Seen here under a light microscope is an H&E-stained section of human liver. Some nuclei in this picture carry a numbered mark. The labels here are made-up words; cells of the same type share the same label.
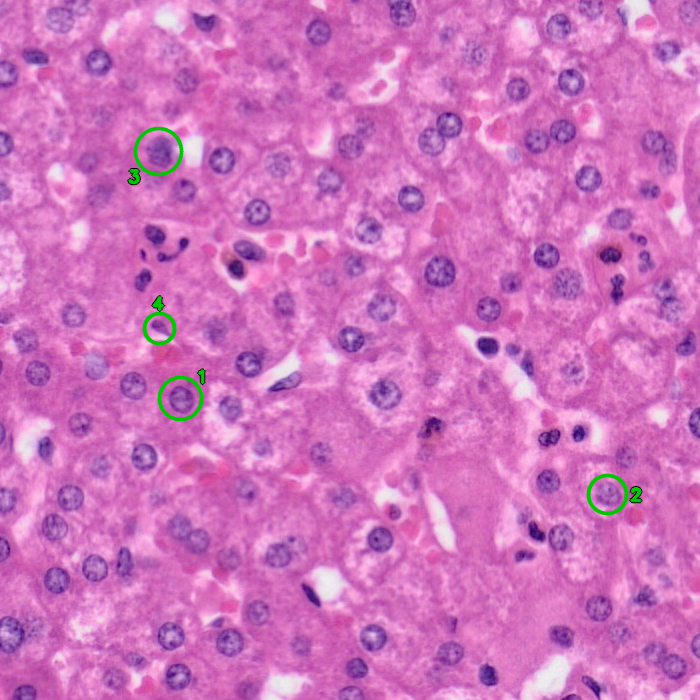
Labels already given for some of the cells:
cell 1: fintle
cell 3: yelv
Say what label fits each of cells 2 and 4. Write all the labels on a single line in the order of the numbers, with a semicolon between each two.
fintle; yelv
